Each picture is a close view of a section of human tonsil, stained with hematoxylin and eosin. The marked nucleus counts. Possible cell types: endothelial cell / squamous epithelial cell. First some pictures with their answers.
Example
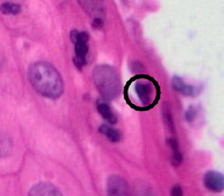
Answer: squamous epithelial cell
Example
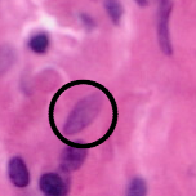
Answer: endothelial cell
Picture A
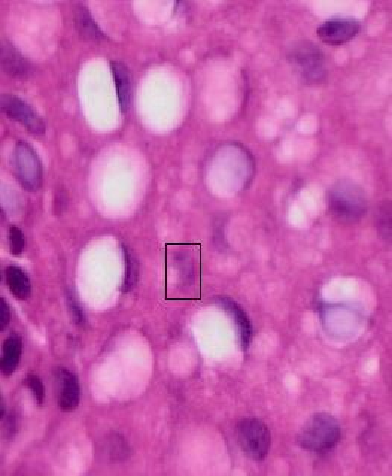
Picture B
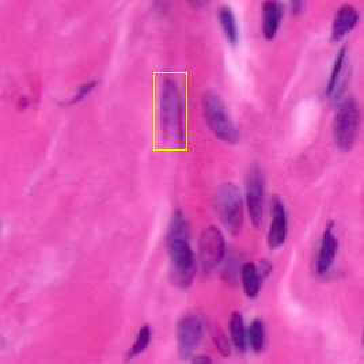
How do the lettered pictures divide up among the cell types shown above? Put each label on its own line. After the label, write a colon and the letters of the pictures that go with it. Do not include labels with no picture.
endothelial cell: B
squamous epithelial cell: A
